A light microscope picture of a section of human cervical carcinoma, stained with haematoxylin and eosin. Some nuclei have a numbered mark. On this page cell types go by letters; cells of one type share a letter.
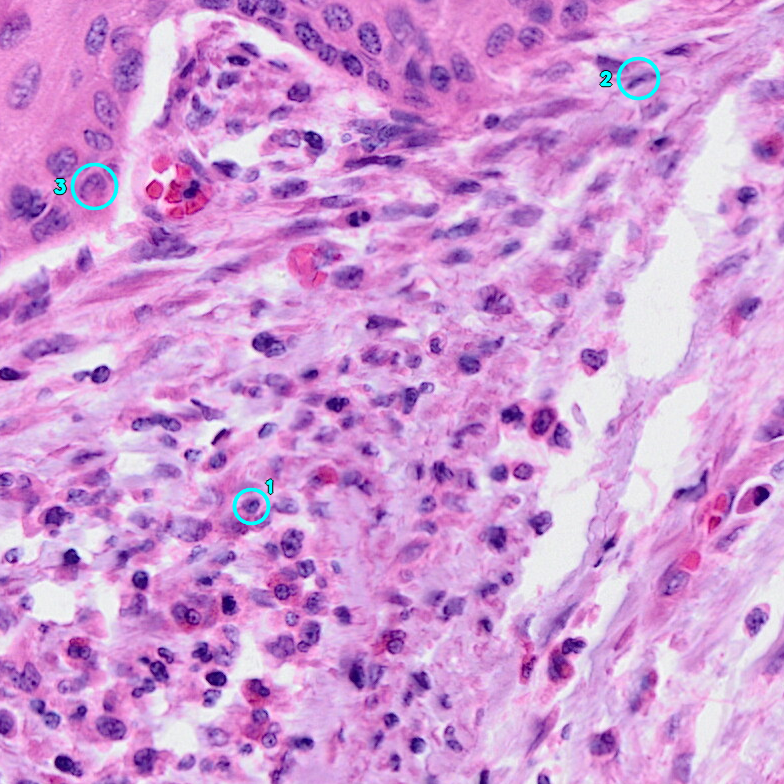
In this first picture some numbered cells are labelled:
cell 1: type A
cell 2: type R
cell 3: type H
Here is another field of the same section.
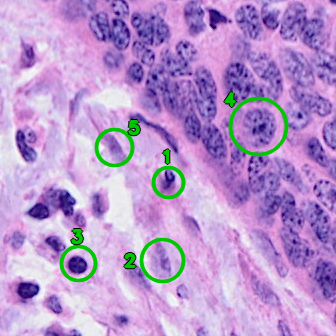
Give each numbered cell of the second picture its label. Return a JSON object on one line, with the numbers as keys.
{"1": "type A", "2": "type R", "3": "type A", "4": "type H", "5": "type R"}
